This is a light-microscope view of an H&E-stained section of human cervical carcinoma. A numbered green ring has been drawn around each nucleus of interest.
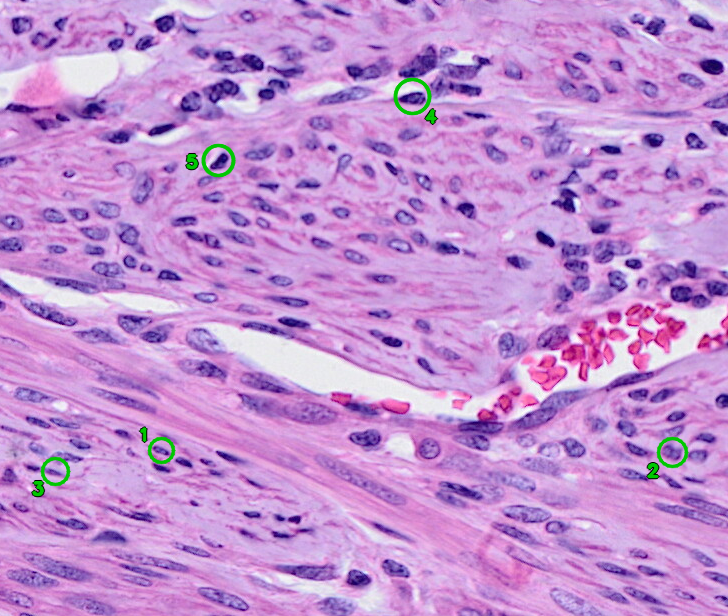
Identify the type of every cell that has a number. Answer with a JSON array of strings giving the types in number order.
["smooth muscle cell", "smooth muscle cell", "fibroblast", "lymphocyte", "lymphocyte"]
